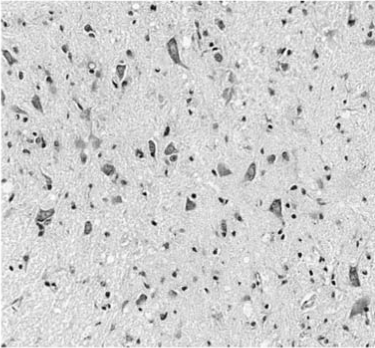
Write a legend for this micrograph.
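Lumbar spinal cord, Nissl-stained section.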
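Grey matter of the ventral horn with scattered large motor neurons in a pale, finely fibrillar neuropil. The neuronal cell bodies are angular to polygonal with darkly stained cytoplasm, and a few show tapering processes. Numerous small, round, dark nuclei of glial cells are dispersed among them.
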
